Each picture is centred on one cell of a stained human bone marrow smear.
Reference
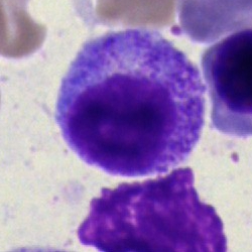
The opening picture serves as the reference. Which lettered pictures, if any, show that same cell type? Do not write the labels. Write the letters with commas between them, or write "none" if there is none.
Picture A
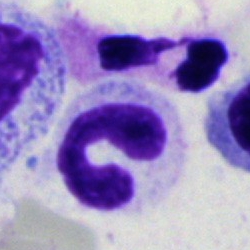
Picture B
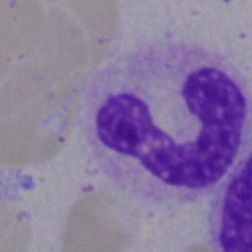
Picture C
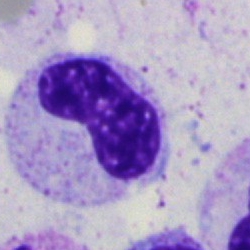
none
